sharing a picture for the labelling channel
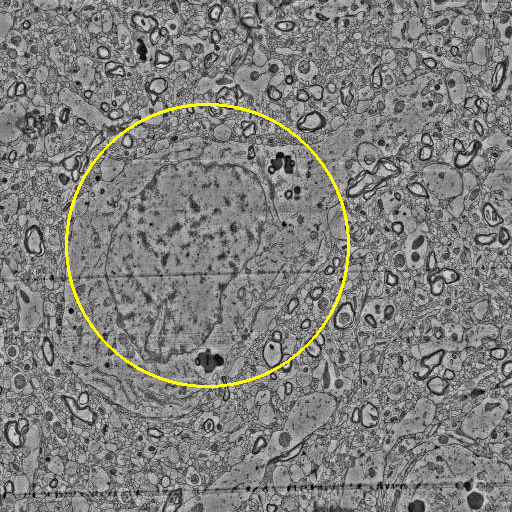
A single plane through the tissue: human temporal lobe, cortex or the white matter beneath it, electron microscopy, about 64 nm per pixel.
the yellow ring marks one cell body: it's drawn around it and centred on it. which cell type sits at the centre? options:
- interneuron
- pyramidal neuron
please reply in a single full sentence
In the picture, the cell at the ring's centre is an interneuron, going by the list.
